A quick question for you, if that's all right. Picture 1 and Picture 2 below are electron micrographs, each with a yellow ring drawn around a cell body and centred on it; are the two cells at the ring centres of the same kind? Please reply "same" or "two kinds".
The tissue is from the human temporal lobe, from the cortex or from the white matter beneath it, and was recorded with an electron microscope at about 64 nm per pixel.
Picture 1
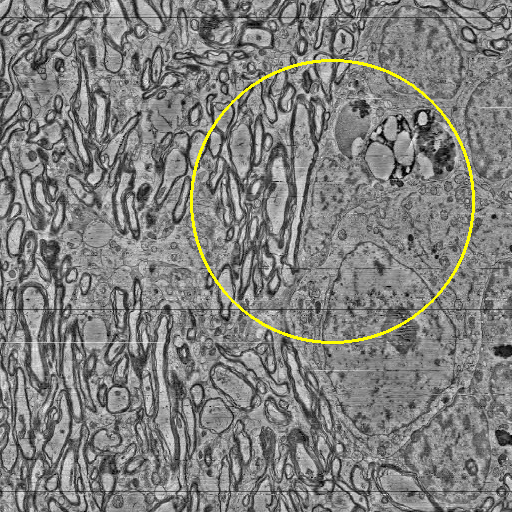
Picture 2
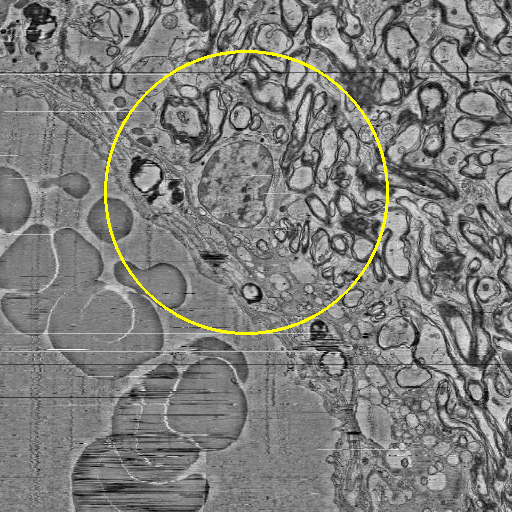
two kinds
